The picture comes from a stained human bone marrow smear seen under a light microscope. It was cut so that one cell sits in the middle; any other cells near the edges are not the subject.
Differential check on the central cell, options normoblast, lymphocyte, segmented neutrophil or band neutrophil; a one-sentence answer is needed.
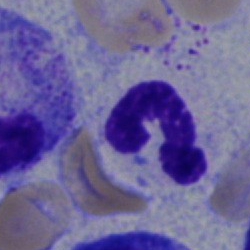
In short, the cell at the center is a band neutrophil.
